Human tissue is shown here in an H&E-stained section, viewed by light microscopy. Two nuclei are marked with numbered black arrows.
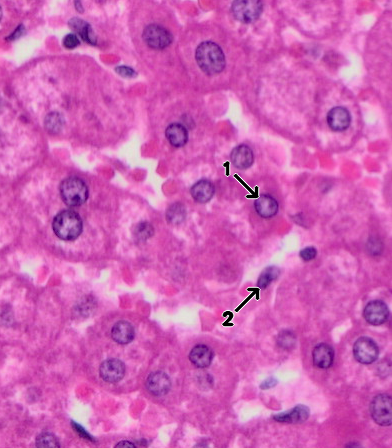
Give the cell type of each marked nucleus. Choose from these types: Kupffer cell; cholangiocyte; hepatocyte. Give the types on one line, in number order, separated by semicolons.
hepatocyte; Kupffer cell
